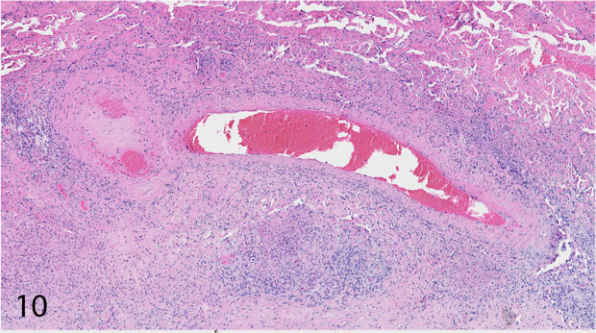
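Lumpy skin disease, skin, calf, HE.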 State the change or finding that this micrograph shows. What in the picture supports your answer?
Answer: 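A large blood-filled vessel lies in the centre. Its wall is thickened, smudged pink and surrounded by dense inflammatory cells. That points to this answer: fibrinonecrotic vasculitis.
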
